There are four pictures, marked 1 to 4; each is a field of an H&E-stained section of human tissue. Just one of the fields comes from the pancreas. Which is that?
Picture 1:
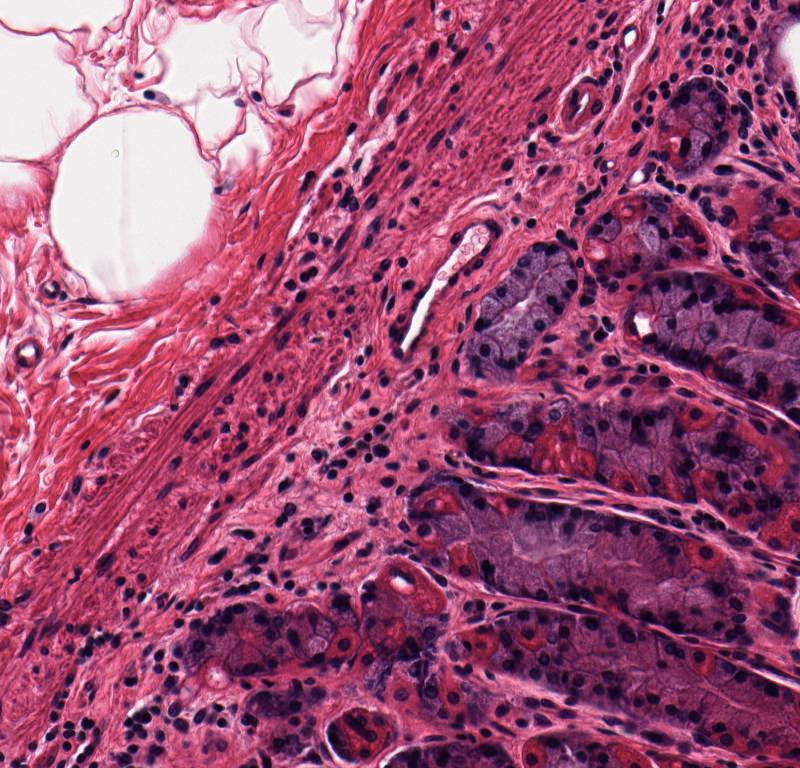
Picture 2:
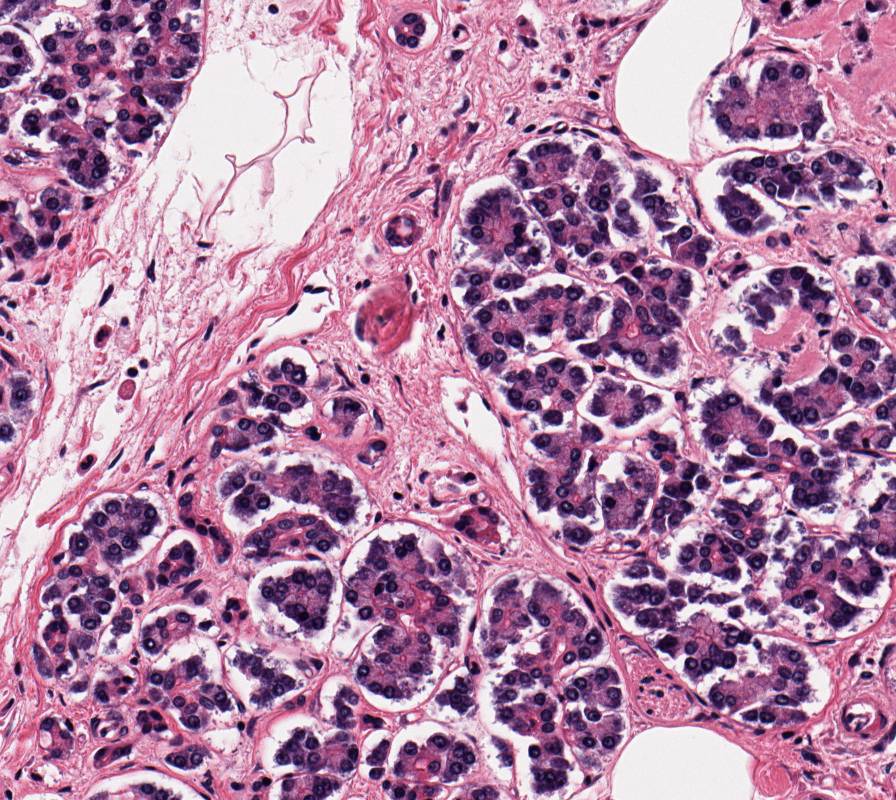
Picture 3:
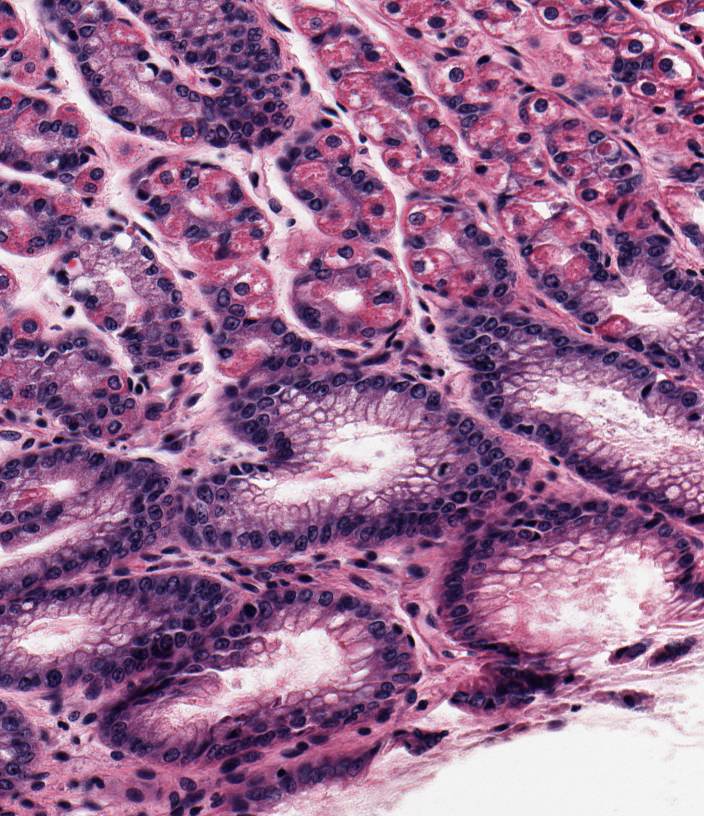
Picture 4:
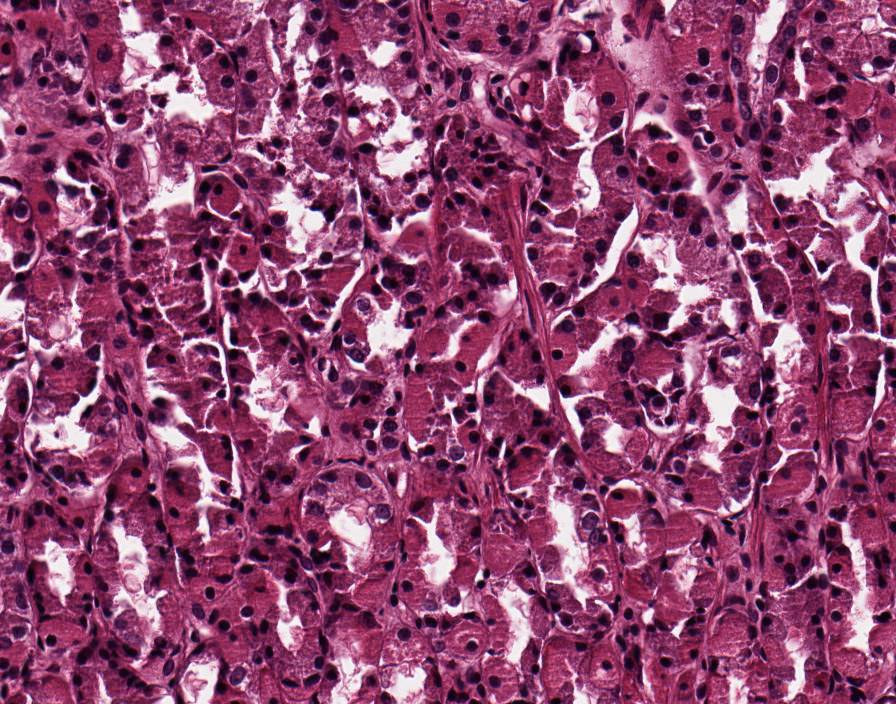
2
